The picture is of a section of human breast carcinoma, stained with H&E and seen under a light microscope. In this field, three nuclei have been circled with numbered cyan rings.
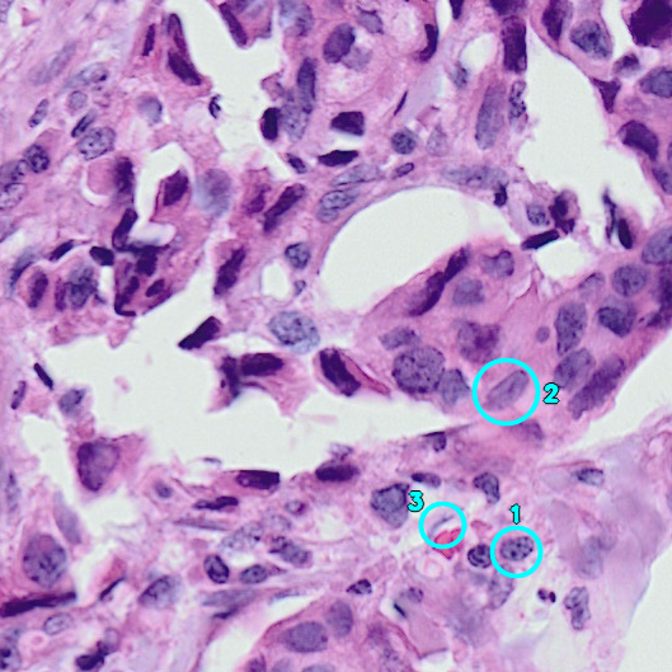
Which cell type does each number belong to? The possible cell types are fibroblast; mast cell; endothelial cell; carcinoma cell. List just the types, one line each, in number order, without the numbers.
mast cell
carcinoma cell
endothelial cell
